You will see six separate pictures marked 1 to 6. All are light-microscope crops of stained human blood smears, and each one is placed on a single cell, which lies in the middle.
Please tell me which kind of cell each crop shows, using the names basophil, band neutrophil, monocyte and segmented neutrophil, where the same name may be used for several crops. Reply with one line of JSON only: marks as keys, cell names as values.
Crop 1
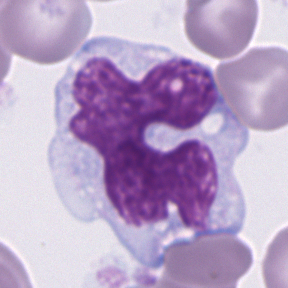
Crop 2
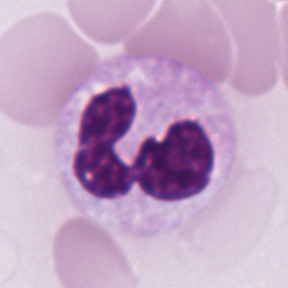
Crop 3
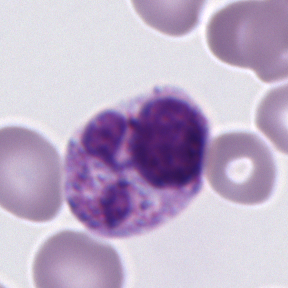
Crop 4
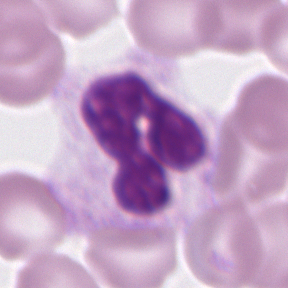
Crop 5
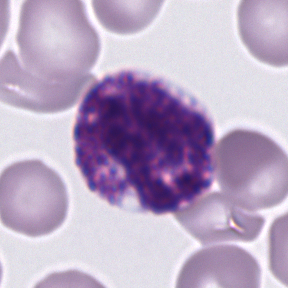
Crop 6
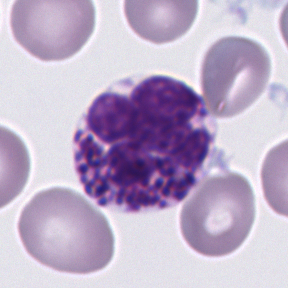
{"1": "monocyte", "2": "segmented neutrophil", "3": "basophil", "4": "segmented neutrophil", "5": "basophil", "6": "basophil"}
